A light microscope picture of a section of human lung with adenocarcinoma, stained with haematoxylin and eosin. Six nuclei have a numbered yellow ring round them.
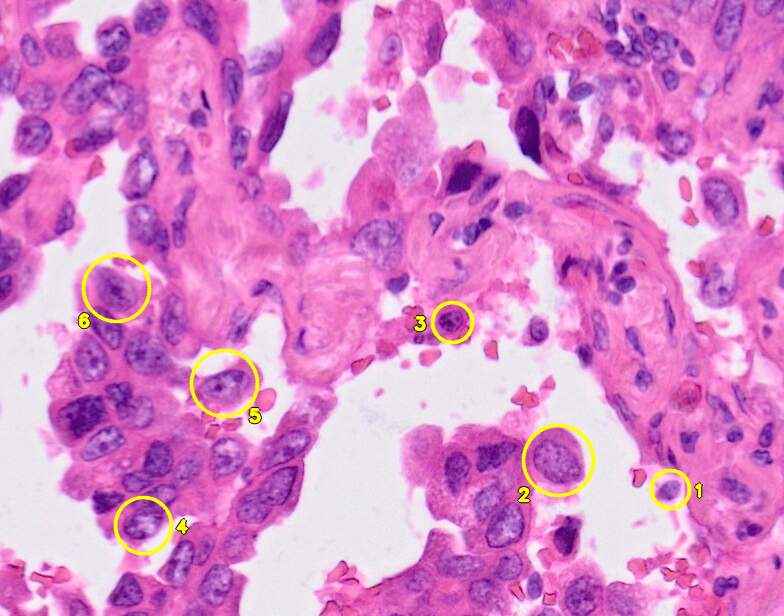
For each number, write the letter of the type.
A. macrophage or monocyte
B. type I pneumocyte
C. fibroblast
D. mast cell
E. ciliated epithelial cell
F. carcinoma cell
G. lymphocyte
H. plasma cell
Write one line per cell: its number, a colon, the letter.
1: G
2: F
3: A
4: F
5: F
6: F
